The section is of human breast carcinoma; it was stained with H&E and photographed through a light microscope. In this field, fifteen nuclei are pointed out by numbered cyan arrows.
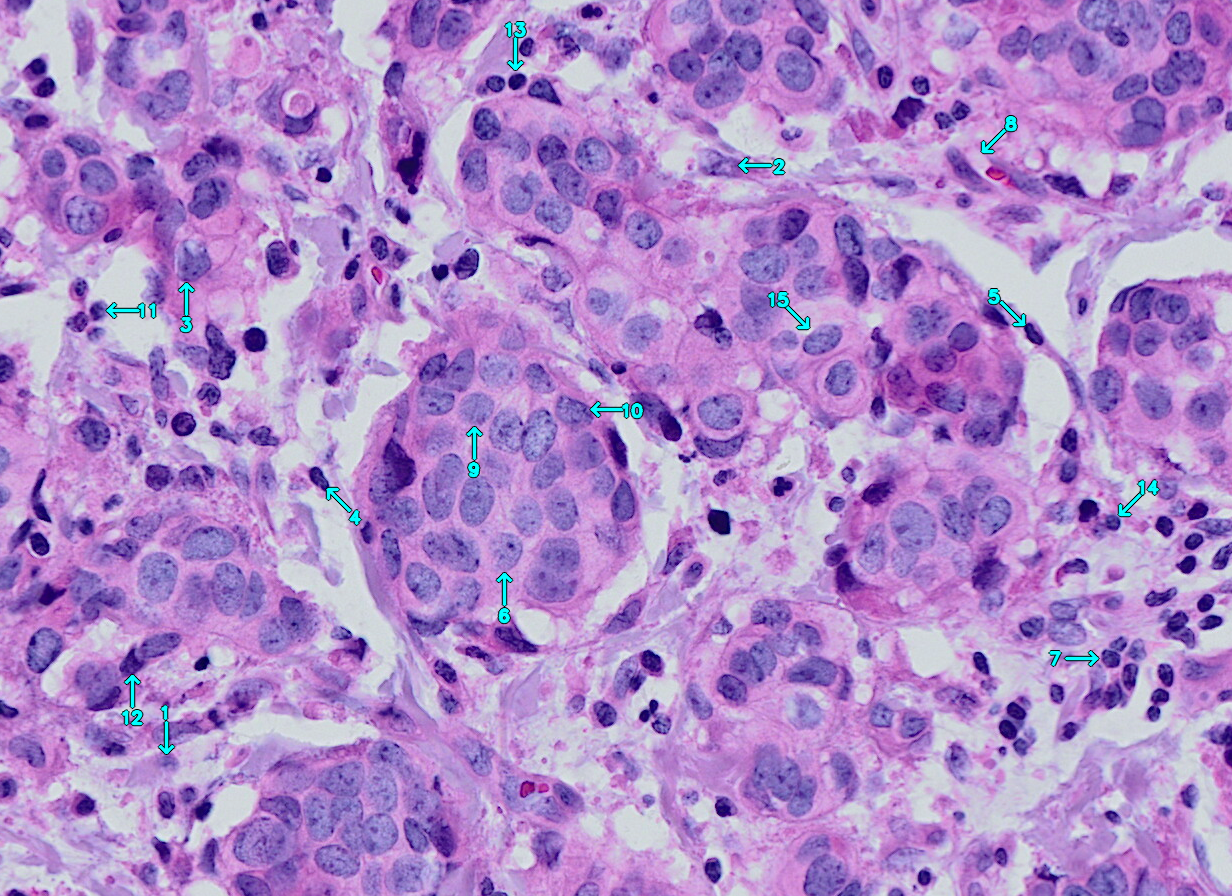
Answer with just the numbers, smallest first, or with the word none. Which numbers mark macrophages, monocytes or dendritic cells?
1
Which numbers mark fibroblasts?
2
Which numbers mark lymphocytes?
4, 5, 7, 11, 13, 14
